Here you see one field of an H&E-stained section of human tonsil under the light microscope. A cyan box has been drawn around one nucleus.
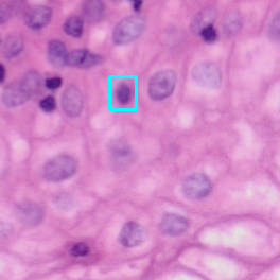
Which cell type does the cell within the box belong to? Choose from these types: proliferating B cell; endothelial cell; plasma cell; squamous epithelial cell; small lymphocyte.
squamous epithelial cell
